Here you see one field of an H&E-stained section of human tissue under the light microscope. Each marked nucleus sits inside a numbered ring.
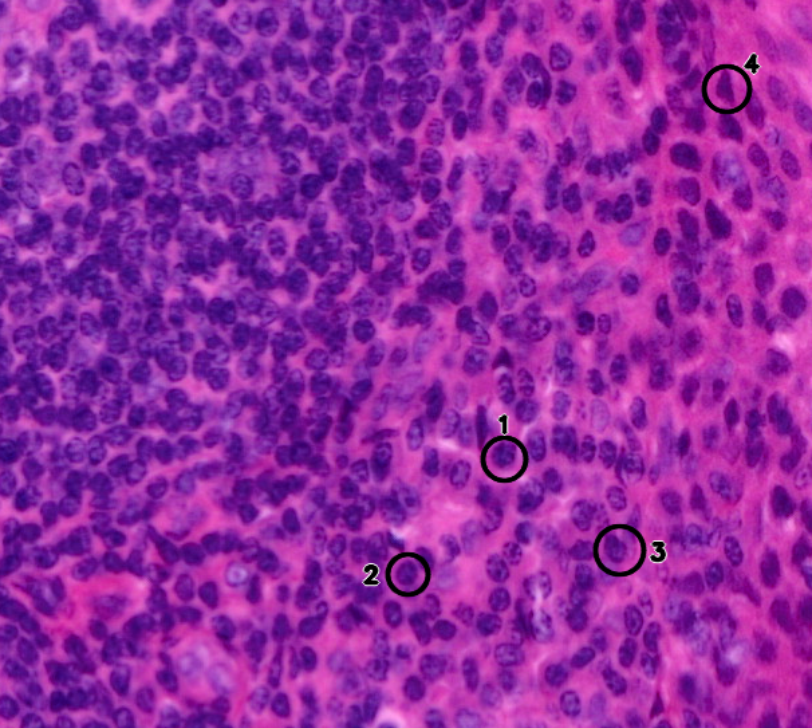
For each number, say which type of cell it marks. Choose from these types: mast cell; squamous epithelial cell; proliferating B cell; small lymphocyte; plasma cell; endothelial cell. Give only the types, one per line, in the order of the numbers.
plasma cell
plasma cell
plasma cell
squamous epithelial cell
